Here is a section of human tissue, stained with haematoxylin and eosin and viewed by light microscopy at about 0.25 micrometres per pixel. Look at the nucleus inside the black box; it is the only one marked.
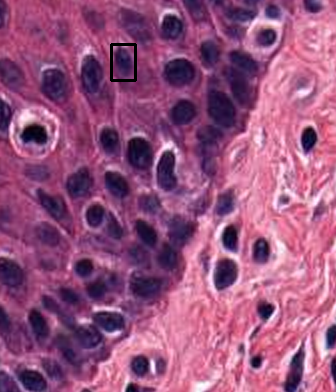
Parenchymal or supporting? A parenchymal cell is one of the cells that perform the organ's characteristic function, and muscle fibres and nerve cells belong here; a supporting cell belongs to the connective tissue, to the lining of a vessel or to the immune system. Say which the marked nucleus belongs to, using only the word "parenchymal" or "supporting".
parenchymal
